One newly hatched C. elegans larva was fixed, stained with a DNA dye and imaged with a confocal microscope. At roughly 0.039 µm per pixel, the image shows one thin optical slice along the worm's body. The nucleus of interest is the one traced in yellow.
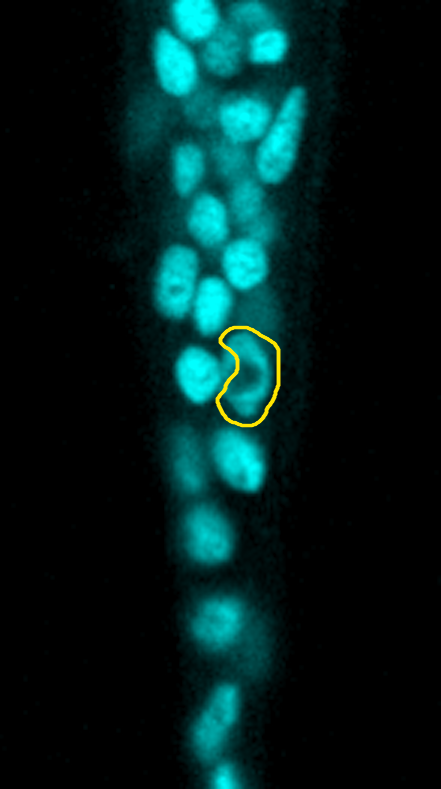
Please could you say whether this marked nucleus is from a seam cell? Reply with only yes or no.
yes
